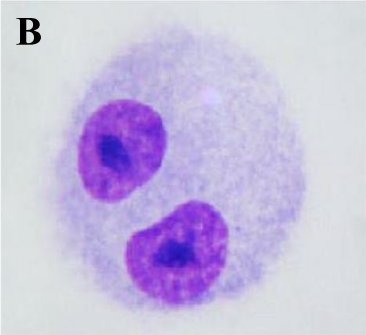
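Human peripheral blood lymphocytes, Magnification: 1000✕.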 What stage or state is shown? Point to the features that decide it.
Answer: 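Binucleated cell. Two separate oval nuclei of similar size share one cytoplasm. The nuclei do not touch.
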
